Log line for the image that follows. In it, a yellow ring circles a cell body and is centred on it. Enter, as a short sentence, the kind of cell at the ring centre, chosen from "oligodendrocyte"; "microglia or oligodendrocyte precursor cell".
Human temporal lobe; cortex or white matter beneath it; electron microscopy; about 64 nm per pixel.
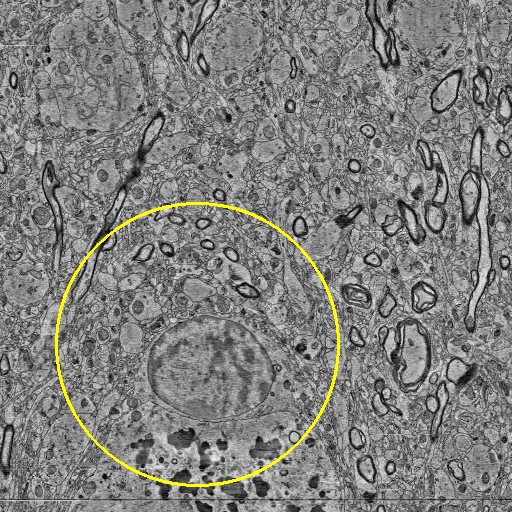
The ring centre is occupied by an oligodendrocyte.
